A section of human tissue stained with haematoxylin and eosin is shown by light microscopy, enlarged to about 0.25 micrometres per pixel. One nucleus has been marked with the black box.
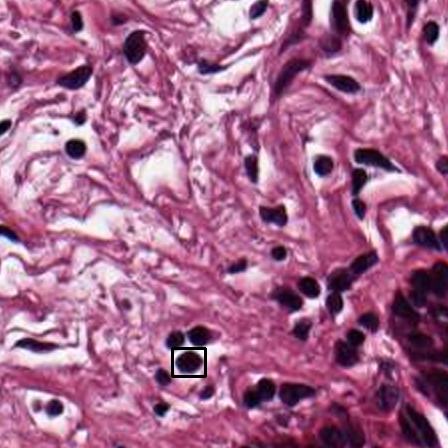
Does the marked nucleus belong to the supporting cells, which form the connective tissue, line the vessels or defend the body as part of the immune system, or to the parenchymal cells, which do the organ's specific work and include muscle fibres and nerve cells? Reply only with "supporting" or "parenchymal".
supporting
